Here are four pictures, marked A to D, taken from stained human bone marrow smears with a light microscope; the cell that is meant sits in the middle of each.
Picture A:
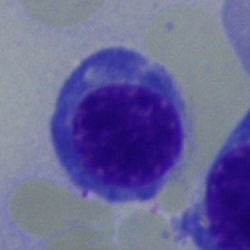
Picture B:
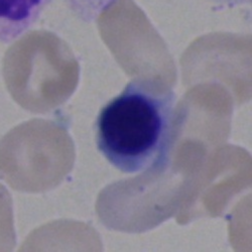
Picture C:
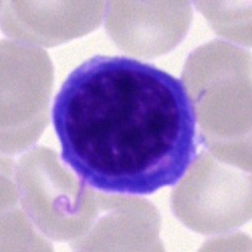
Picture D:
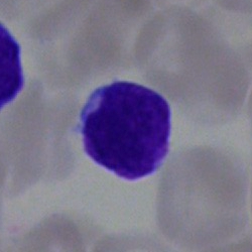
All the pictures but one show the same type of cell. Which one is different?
D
